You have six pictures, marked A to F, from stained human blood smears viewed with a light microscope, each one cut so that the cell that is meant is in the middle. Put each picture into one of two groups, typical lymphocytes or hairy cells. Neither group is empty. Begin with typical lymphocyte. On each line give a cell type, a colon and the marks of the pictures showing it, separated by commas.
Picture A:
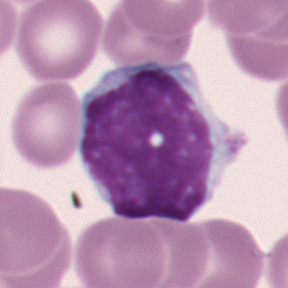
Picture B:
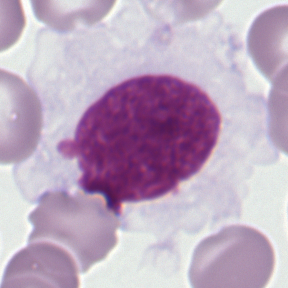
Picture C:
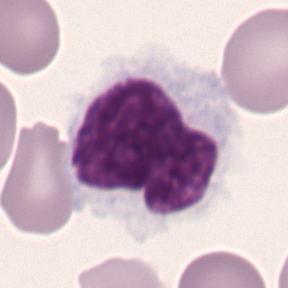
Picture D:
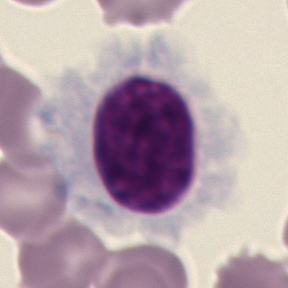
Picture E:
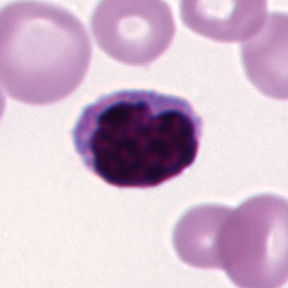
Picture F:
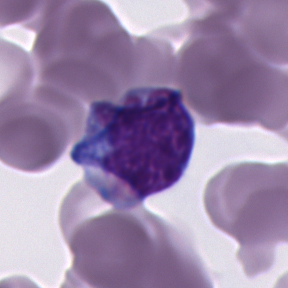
typical lymphocyte: A, E, F
hairy cell: B, C, D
